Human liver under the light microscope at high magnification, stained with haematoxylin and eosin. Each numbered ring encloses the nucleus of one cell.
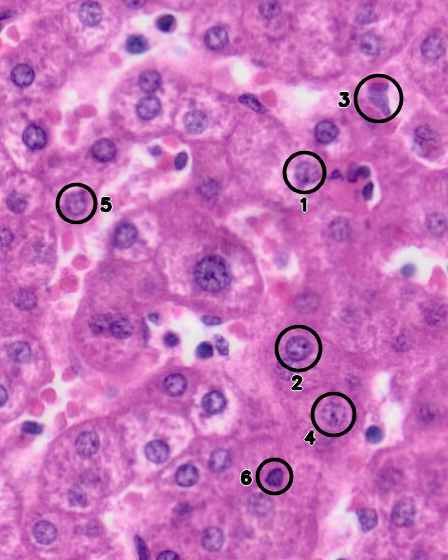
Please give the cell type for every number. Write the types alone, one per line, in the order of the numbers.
hepatocyte
hepatocyte
endothelial cell
hepatocyte
hepatocyte
fibroblast or stellate cell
